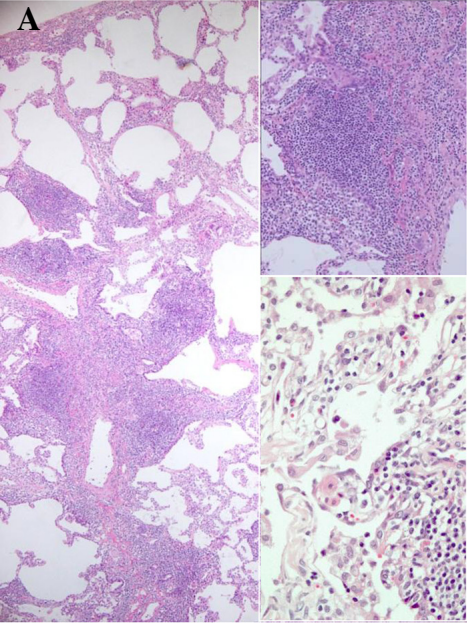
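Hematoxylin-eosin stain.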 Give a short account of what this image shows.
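This is lung tissue in which the alveolar walls are diffusely thickened by cells, a picture of mild interstitial pneumonia, and numerous lymphoid follicles are scattered through it. The follicles appear as rounded, dense purple nodules of small round lymphocytes, several of them lying along the septa and around vessels. In the upper insert one follicle is seen closer, made up of tightly packed small cells with dark round nuclei and scant cytoplasm. The lower insert shows the boundary between a follicle and the surrounding tissue, where the lymphocytes look uniform, without obvious nuclear atypia. Between the follicles the air spaces stay open, with pink, thin-to-moderately thickened walls.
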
